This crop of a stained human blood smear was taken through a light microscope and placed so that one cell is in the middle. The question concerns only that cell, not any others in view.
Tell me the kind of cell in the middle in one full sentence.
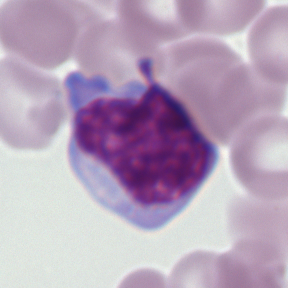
By classification, the middle cell of this crop is a large granular lymphocyte.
